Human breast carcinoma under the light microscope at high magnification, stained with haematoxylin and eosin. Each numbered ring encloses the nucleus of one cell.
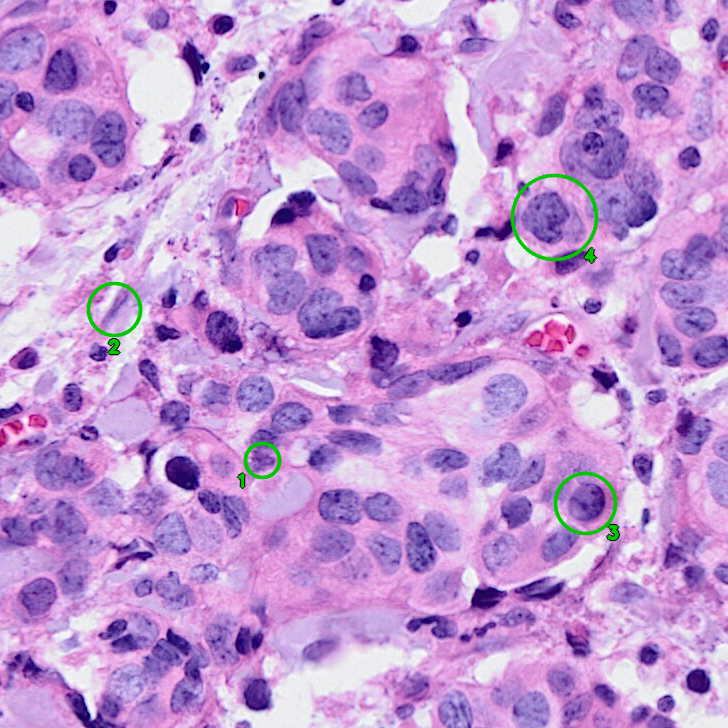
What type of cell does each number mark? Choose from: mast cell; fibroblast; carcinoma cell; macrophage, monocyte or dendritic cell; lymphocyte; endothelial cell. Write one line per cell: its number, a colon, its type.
1: carcinoma cell
2: fibroblast
3: carcinoma cell
4: carcinoma cell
